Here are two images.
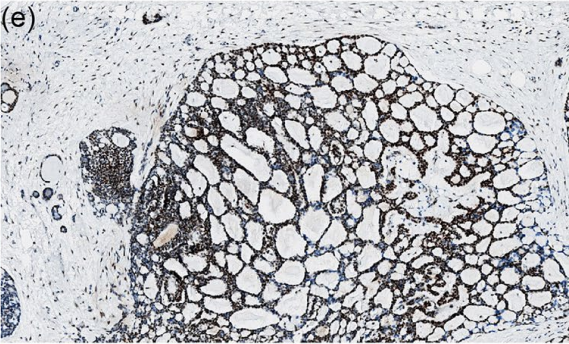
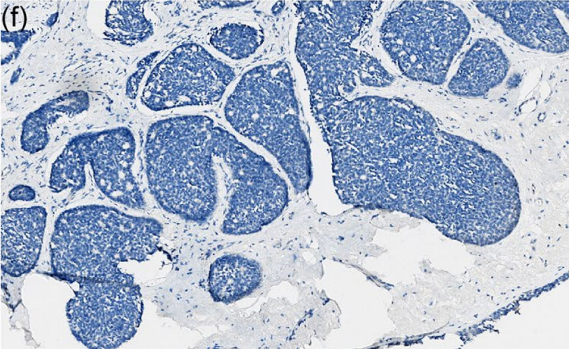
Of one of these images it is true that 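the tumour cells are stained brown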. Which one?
the first image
